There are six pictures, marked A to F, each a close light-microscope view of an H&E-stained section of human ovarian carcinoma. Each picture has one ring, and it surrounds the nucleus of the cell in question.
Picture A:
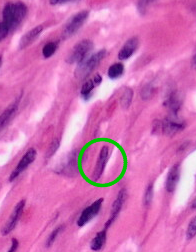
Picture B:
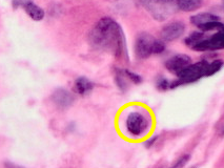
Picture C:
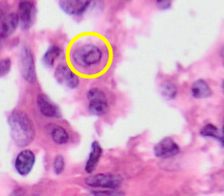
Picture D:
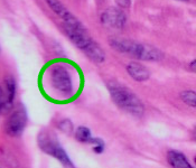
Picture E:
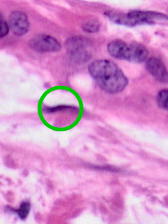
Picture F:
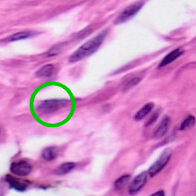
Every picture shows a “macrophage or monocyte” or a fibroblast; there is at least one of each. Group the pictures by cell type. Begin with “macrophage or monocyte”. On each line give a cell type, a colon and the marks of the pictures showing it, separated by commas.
macrophage or monocyte: B, C
fibroblast: A, D, E, F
